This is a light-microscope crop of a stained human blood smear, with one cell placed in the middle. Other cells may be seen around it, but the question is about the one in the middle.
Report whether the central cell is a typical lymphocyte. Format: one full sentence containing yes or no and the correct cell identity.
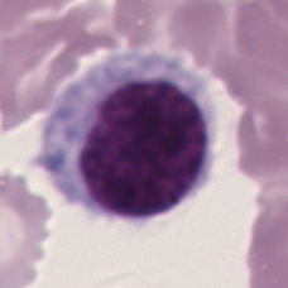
No, what the centre of the crop shows is a hairy cell, not a typical lymphocyte.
